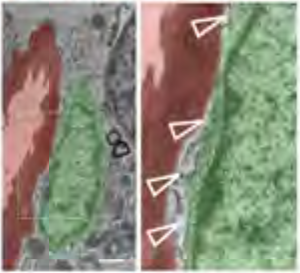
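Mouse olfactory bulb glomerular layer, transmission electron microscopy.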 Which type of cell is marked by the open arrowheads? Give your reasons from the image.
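Astrocytes. Open arrowheads point to thin pale cellular profiles lying between the red-shaded region and the green-shaded cell.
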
